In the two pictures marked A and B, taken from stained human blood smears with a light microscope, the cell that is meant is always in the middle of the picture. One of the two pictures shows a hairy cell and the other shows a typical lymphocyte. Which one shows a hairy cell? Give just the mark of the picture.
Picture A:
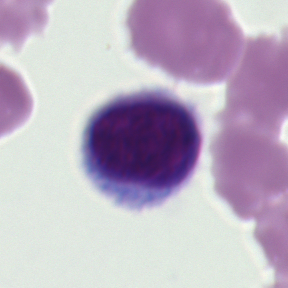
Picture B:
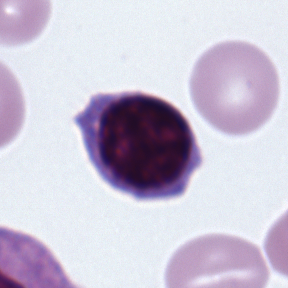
A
